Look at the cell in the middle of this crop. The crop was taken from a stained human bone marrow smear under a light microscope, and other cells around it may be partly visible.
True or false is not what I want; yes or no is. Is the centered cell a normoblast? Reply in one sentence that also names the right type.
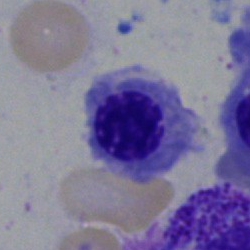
Yes, the cell occupying the center is a normoblast.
